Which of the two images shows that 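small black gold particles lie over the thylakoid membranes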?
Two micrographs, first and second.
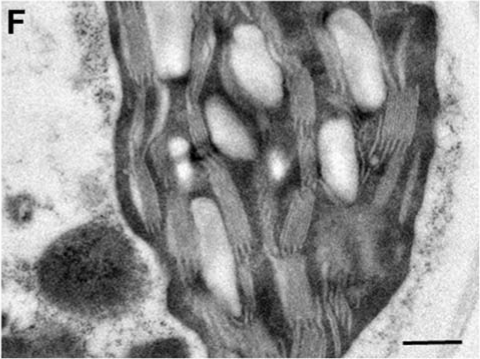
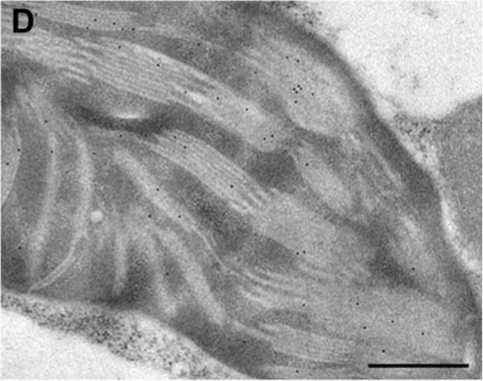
the second image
